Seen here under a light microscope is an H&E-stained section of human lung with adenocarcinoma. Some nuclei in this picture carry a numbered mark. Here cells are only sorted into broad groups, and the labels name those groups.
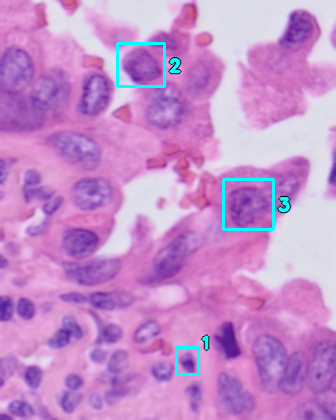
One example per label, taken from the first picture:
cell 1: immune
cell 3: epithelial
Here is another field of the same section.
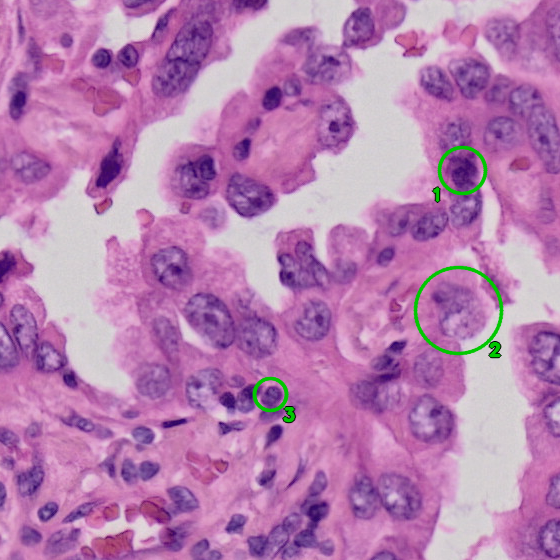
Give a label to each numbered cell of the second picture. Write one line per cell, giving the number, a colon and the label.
1: epithelial
2: epithelial
3: immune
